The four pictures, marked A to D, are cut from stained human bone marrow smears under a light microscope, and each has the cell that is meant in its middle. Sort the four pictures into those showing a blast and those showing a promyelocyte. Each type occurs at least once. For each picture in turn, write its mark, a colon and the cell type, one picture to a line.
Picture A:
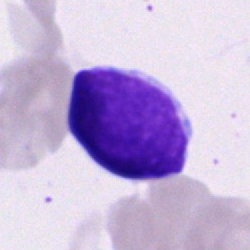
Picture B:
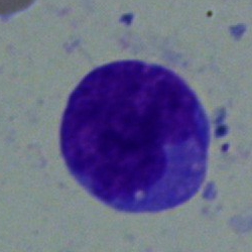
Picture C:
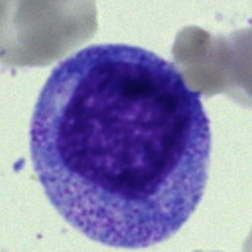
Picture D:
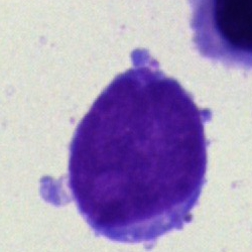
A: blast
B: blast
C: promyelocyte
D: blast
